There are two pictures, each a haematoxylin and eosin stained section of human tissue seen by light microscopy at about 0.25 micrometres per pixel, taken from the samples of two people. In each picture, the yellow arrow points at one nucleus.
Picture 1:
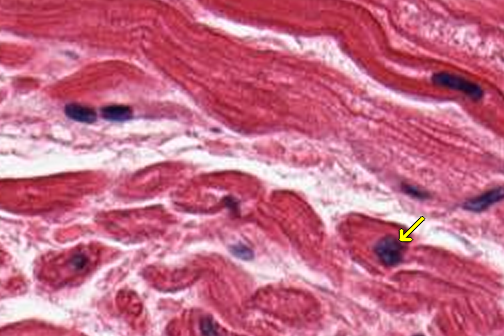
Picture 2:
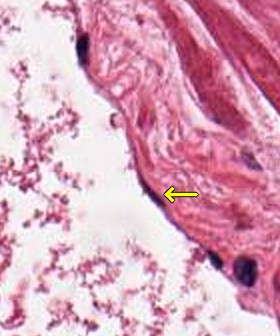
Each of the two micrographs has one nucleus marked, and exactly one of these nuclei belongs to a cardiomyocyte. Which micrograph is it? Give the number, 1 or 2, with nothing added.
1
